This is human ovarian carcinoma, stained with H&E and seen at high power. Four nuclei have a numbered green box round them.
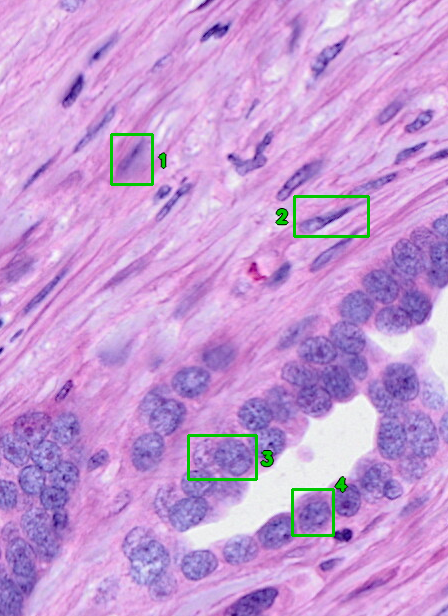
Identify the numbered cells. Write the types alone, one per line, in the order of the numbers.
fibroblast
fibroblast
carcinoma cell
carcinoma cell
